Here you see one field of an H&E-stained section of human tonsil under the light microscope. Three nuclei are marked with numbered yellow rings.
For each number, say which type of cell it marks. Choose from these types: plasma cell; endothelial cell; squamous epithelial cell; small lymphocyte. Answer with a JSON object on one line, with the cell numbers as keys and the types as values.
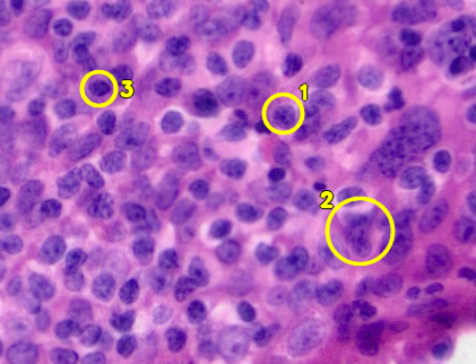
{"1": "squamous epithelial cell", "2": "squamous epithelial cell", "3": "plasma cell"}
